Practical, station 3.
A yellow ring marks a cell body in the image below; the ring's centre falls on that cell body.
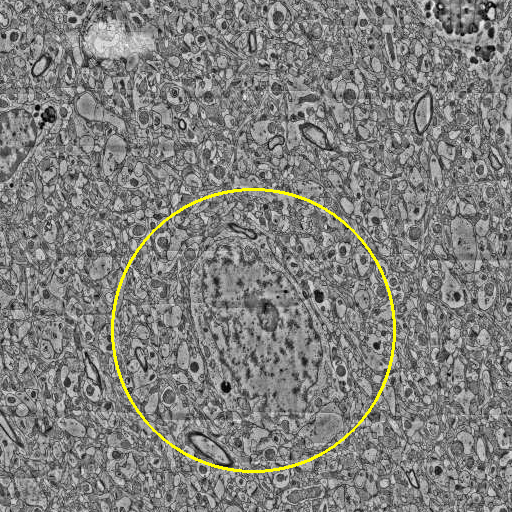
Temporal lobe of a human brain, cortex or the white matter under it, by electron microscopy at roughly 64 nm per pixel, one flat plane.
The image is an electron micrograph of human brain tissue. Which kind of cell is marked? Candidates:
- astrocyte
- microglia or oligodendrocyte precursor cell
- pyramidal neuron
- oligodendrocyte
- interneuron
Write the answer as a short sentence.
The marked cell body is that of an interneuron.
